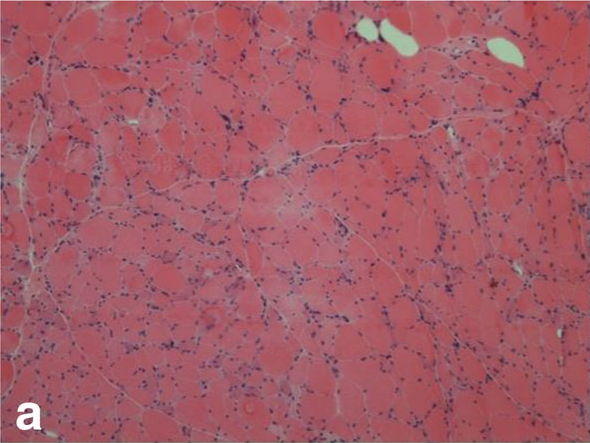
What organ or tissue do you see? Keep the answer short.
Muscle fibers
